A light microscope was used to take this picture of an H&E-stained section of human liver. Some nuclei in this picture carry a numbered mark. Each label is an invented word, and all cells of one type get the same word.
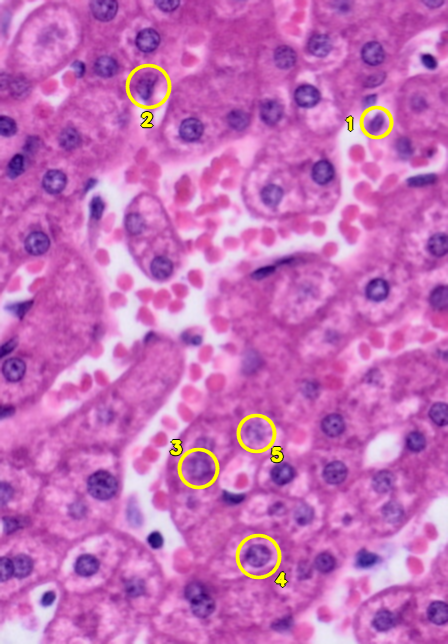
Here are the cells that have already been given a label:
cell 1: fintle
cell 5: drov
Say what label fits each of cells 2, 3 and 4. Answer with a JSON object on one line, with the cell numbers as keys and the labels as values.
{"2": "fintle", "3": "drov", "4": "drov"}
